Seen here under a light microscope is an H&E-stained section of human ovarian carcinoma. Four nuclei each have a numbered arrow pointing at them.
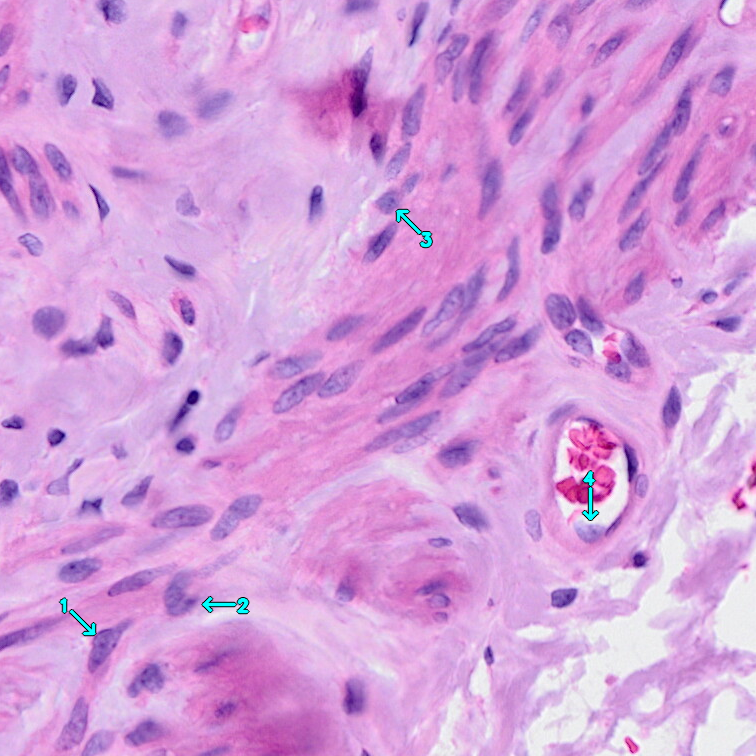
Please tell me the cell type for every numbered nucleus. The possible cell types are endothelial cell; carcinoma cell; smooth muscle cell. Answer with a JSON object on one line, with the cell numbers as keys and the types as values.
{"1": "smooth muscle cell", "2": "smooth muscle cell", "3": "smooth muscle cell", "4": "endothelial cell"}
